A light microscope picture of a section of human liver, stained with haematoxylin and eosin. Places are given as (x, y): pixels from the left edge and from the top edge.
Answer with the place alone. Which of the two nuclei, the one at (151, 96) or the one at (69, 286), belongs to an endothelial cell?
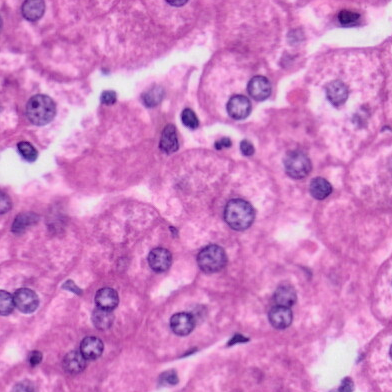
(69, 286)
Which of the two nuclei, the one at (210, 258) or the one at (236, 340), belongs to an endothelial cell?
(236, 340)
